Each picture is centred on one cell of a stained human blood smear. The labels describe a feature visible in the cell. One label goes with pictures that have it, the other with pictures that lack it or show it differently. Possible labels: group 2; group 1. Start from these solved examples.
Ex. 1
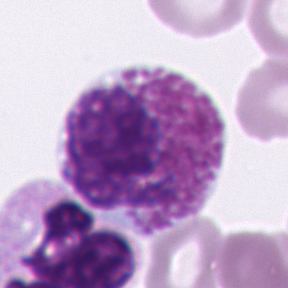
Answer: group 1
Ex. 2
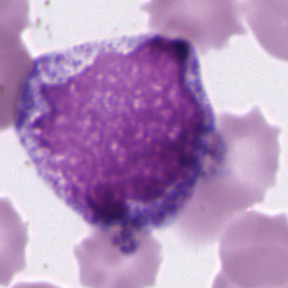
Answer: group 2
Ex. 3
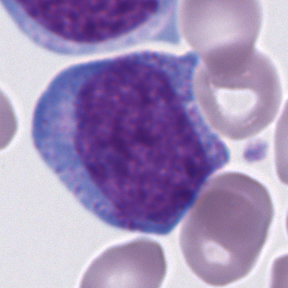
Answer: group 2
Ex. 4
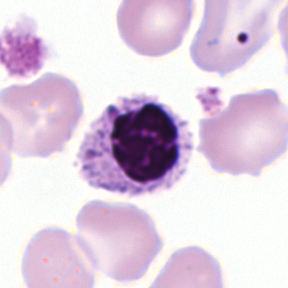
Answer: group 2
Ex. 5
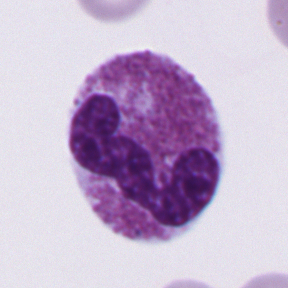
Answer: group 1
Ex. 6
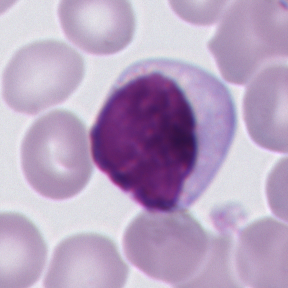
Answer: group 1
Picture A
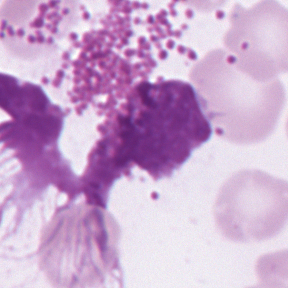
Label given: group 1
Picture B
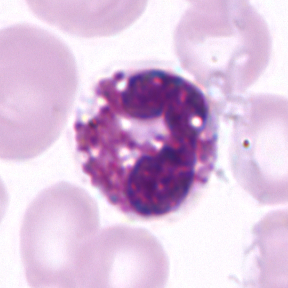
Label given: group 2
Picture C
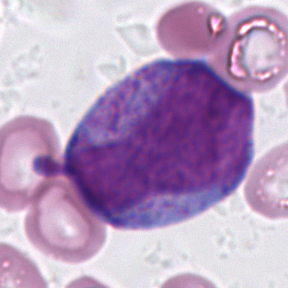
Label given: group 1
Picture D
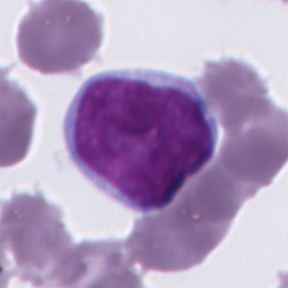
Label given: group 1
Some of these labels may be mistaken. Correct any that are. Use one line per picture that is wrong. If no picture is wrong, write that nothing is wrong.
A: group 2, not group 1
C: group 2, not group 1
